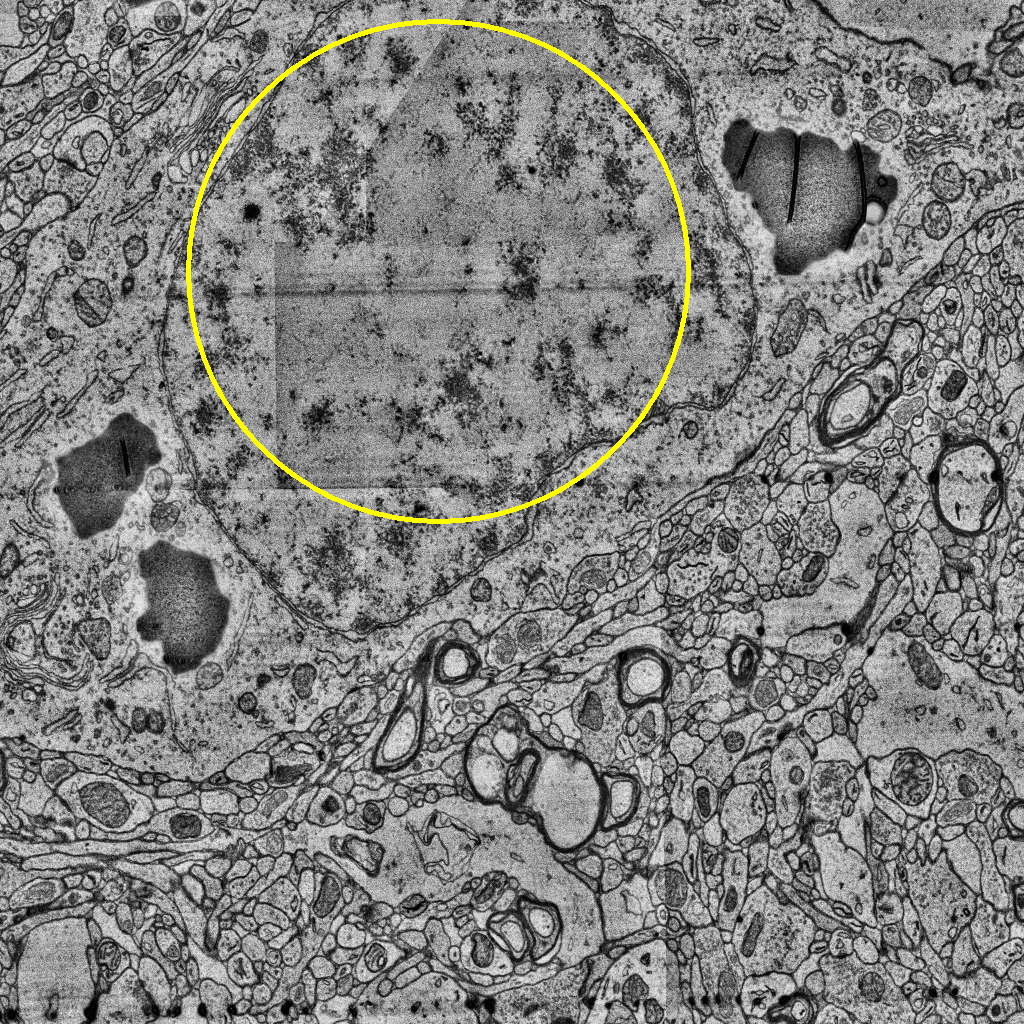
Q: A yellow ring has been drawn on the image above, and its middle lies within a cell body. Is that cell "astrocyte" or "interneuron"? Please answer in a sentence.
The ring's middle lies in the cell body of an interneuron.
